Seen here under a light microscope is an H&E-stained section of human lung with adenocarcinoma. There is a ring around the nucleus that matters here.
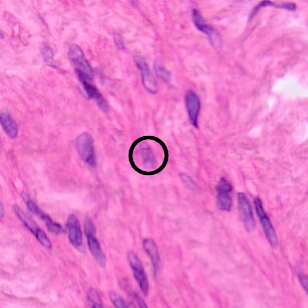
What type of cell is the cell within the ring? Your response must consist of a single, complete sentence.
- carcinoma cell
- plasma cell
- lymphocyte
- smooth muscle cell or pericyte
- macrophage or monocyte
Students should answer that the cell within the ring is a smooth muscle cell or pericyte.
